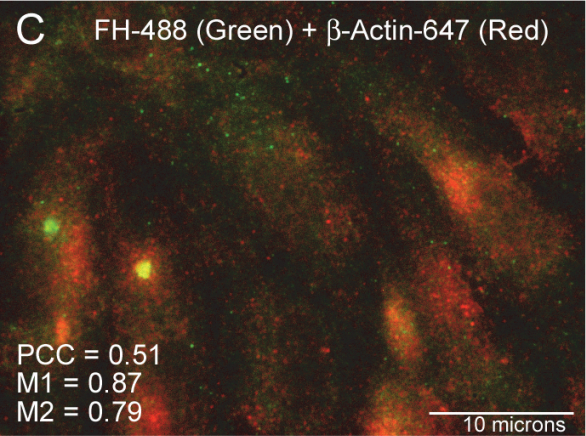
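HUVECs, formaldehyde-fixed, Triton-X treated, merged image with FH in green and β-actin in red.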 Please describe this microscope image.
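The red fluorescence fills the cell bodies as a diffuse, grainy haze with brighter, denser concentrations in the central part of several cells, fading toward their tapered ends. The green fluorescence is finer and more punctate, scattered as small dots over the cells and the background. Dark gaps separate the neighbouring cells.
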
